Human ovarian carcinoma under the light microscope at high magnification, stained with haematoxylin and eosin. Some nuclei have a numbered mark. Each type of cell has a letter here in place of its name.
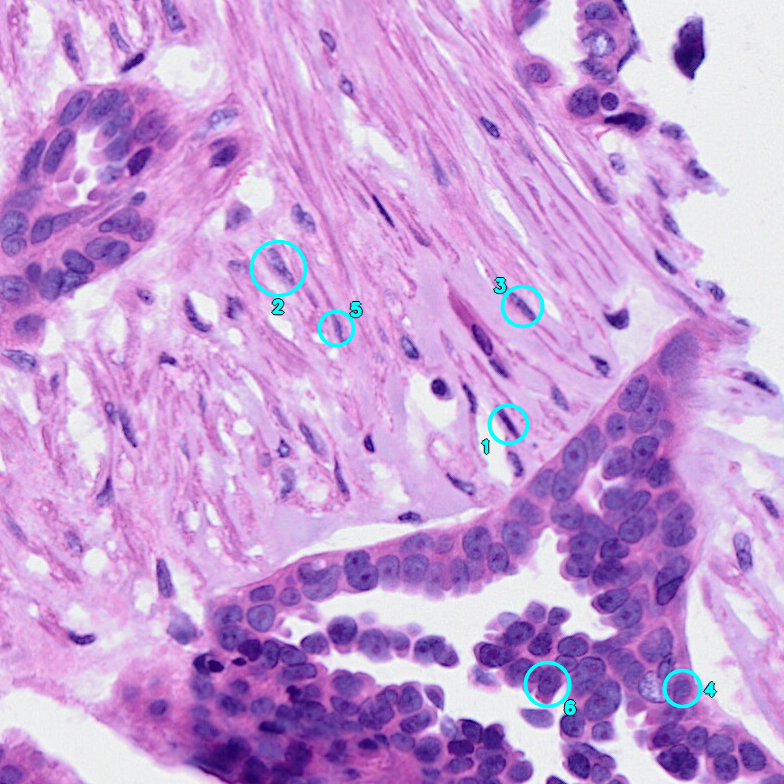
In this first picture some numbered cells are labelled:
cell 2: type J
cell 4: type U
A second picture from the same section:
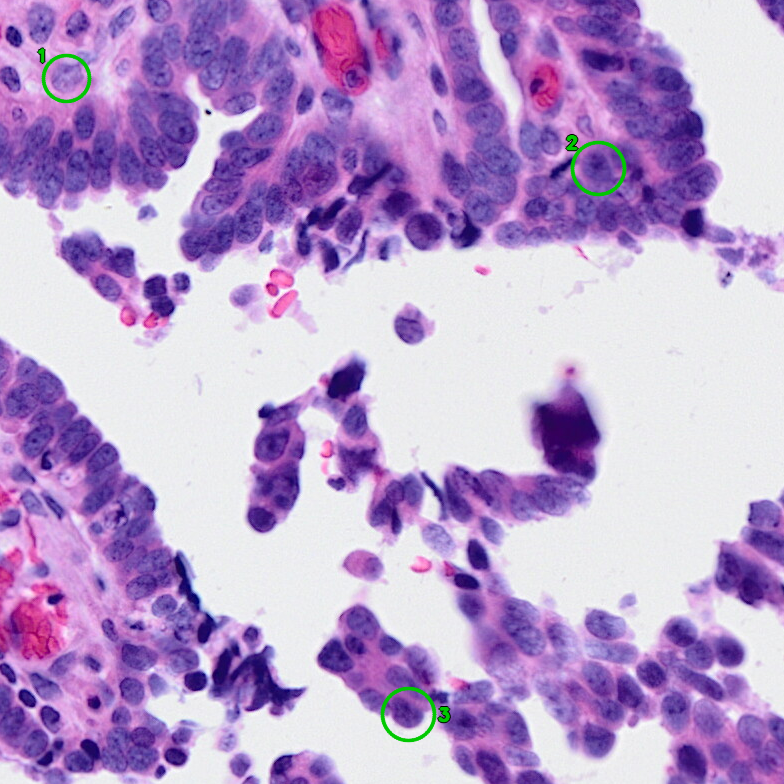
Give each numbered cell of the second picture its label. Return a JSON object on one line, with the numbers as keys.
{"1": "type J", "2": "type U", "3": "type U"}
